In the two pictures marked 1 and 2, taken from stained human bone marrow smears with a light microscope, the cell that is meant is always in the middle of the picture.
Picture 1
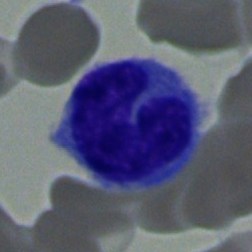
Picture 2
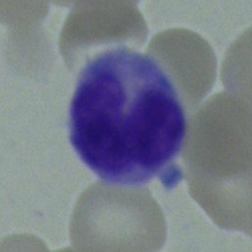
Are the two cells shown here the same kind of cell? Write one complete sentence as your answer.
Yes, both are monocytes.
